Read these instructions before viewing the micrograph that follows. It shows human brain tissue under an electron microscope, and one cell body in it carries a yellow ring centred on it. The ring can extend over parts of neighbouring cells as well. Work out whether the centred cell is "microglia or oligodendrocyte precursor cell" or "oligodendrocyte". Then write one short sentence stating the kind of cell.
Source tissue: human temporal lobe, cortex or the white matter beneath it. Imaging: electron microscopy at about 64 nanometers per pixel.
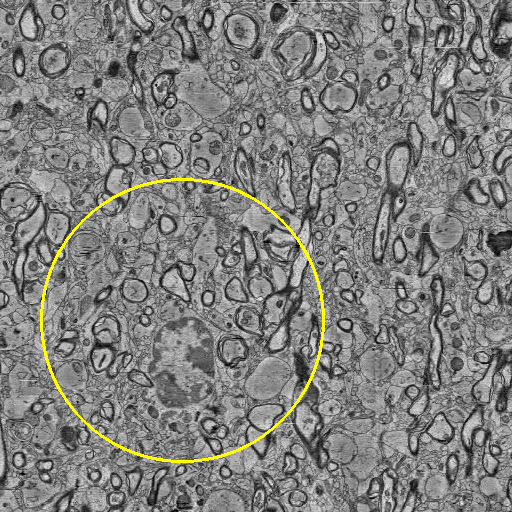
The ringed cell is a microglial cell or oligodendrocyte precursor cell.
